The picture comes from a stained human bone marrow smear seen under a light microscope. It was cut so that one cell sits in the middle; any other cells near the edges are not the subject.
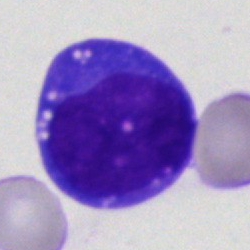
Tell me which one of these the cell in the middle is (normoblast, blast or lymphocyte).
blast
